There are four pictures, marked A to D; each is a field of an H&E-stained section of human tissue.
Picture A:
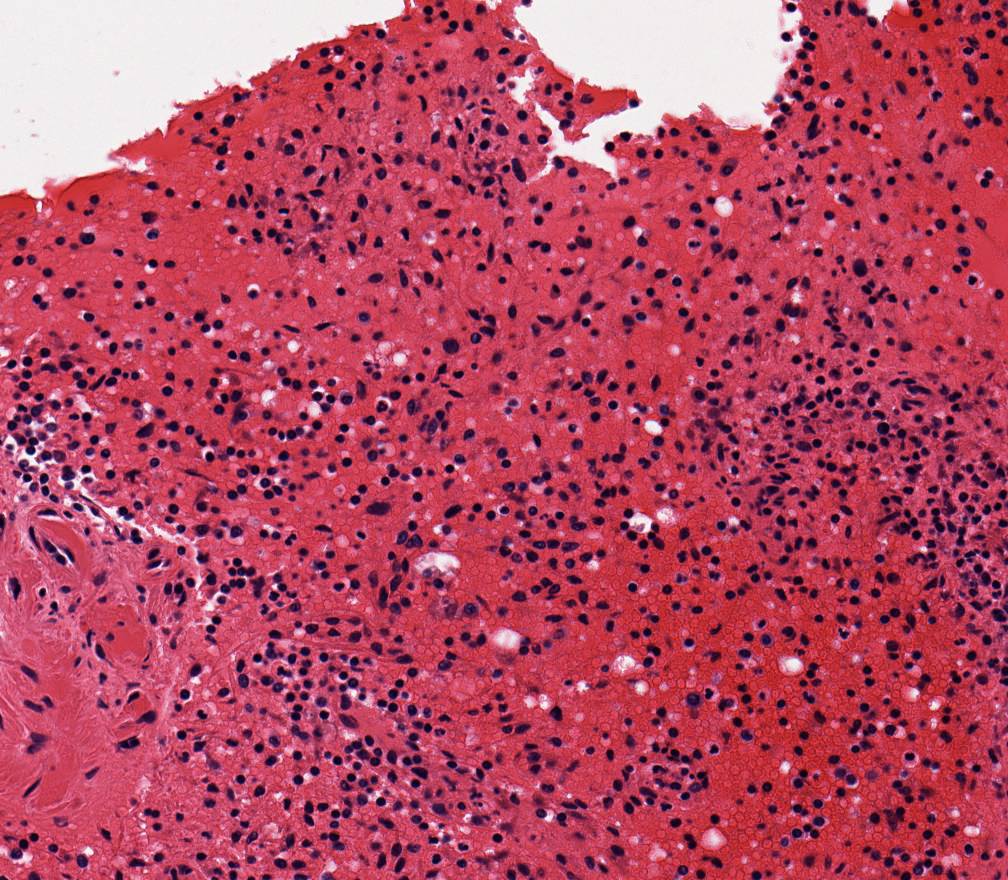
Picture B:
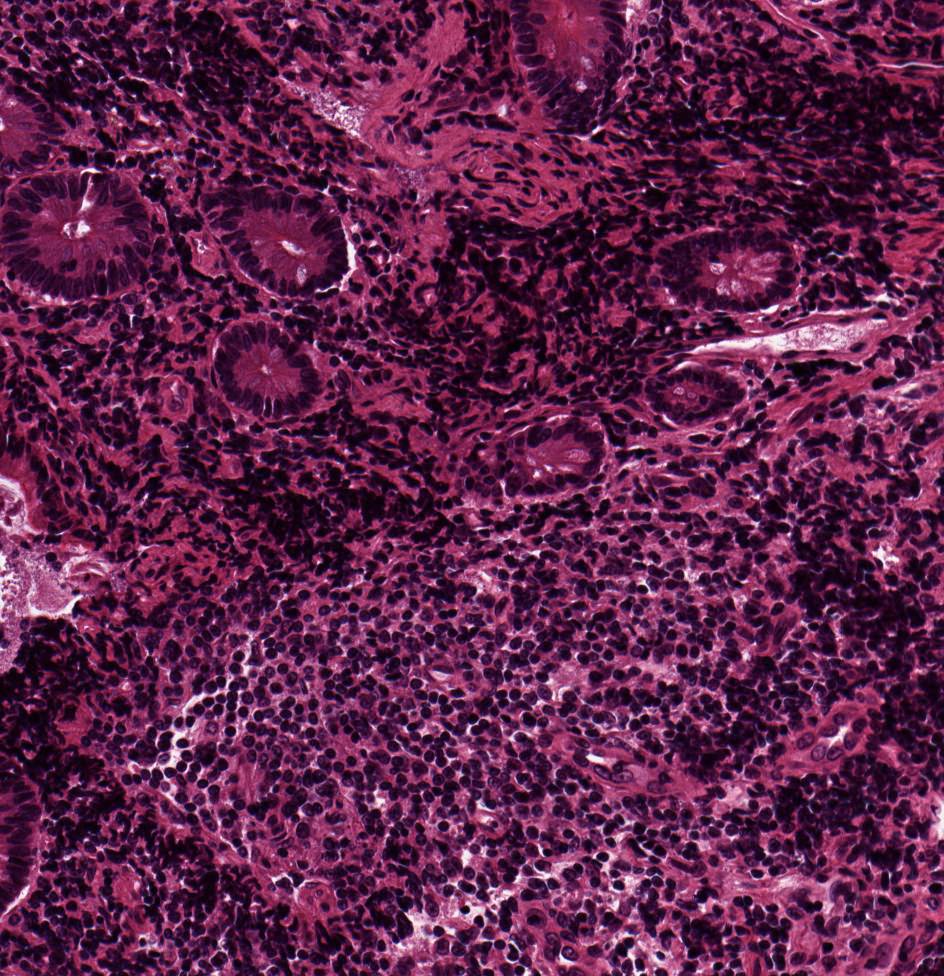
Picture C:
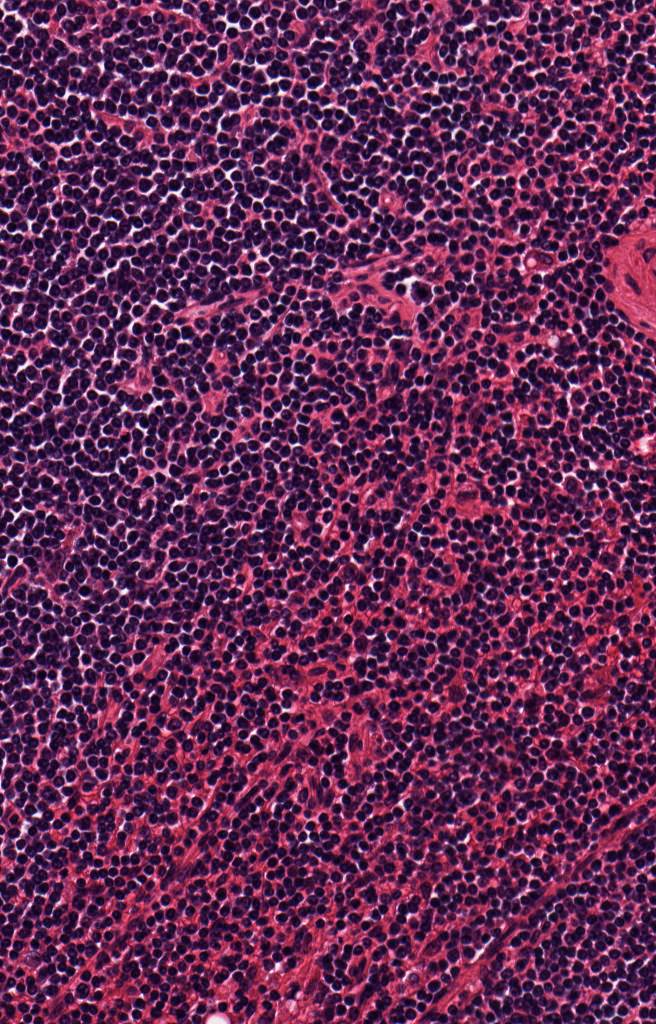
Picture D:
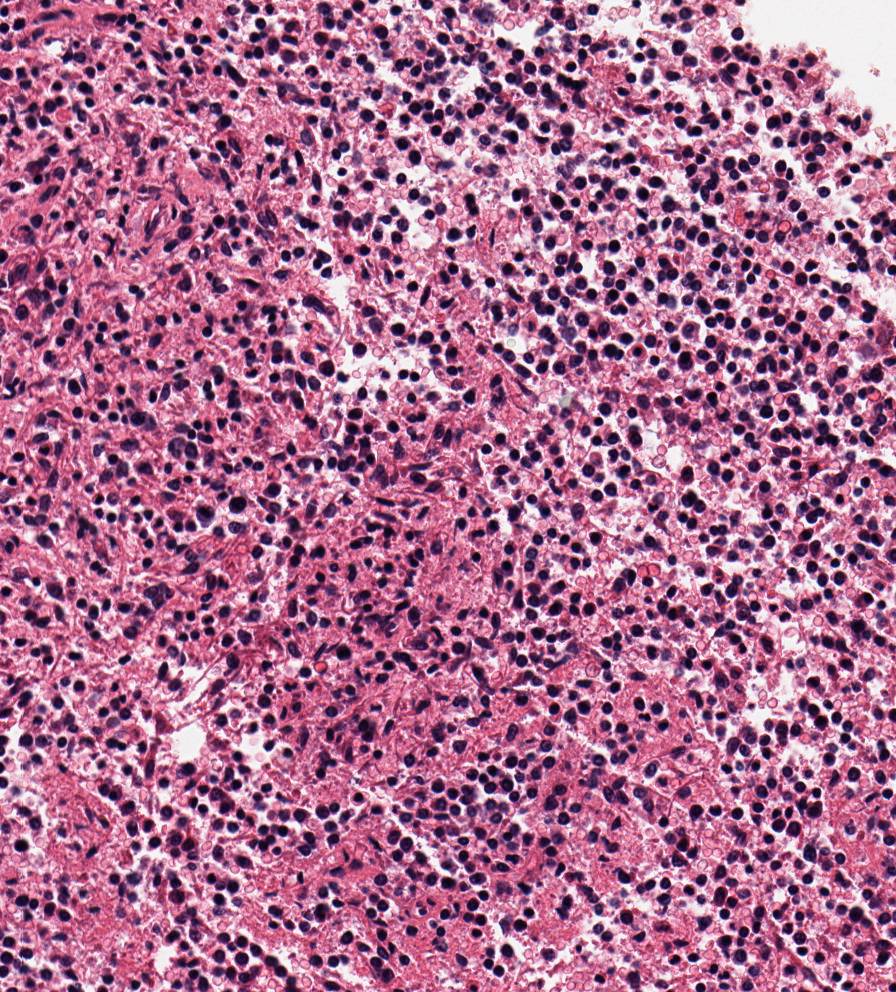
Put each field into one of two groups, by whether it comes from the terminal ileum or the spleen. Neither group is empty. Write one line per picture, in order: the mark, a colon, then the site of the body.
A: spleen
B: terminal ileum
C: spleen
D: spleen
